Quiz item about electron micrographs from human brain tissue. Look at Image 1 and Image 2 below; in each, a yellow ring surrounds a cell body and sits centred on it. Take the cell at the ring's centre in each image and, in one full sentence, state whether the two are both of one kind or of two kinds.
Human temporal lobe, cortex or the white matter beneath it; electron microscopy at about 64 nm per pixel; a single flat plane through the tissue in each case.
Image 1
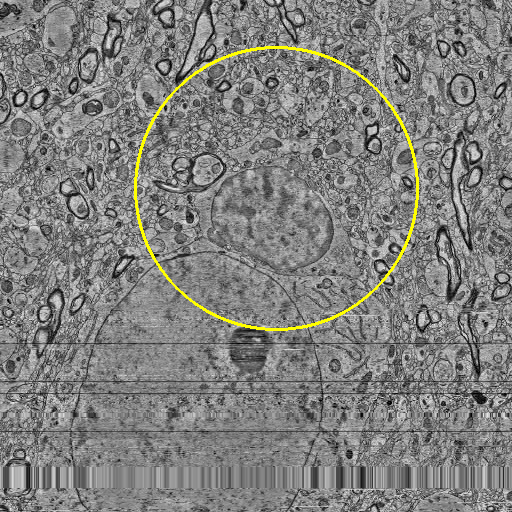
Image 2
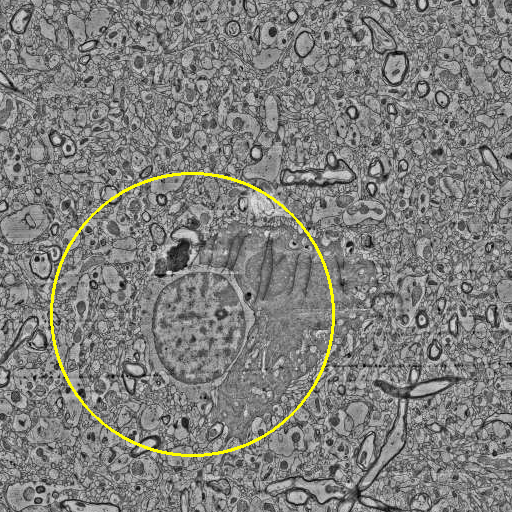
In Image 1 and Image 2, the cells at the ring centres are both of one kind.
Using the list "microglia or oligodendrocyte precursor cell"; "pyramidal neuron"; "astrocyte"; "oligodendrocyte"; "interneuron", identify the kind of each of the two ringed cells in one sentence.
In the first picture and in the second, the ring is centred on an oligodendrocyte.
